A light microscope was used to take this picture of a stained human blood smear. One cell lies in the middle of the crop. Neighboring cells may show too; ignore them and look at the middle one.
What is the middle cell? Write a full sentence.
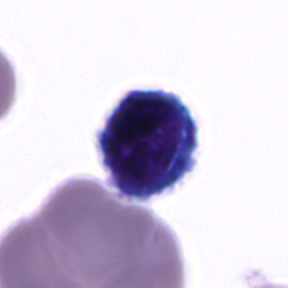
In the crop, the cell of interest at the centre is a plasma cell.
